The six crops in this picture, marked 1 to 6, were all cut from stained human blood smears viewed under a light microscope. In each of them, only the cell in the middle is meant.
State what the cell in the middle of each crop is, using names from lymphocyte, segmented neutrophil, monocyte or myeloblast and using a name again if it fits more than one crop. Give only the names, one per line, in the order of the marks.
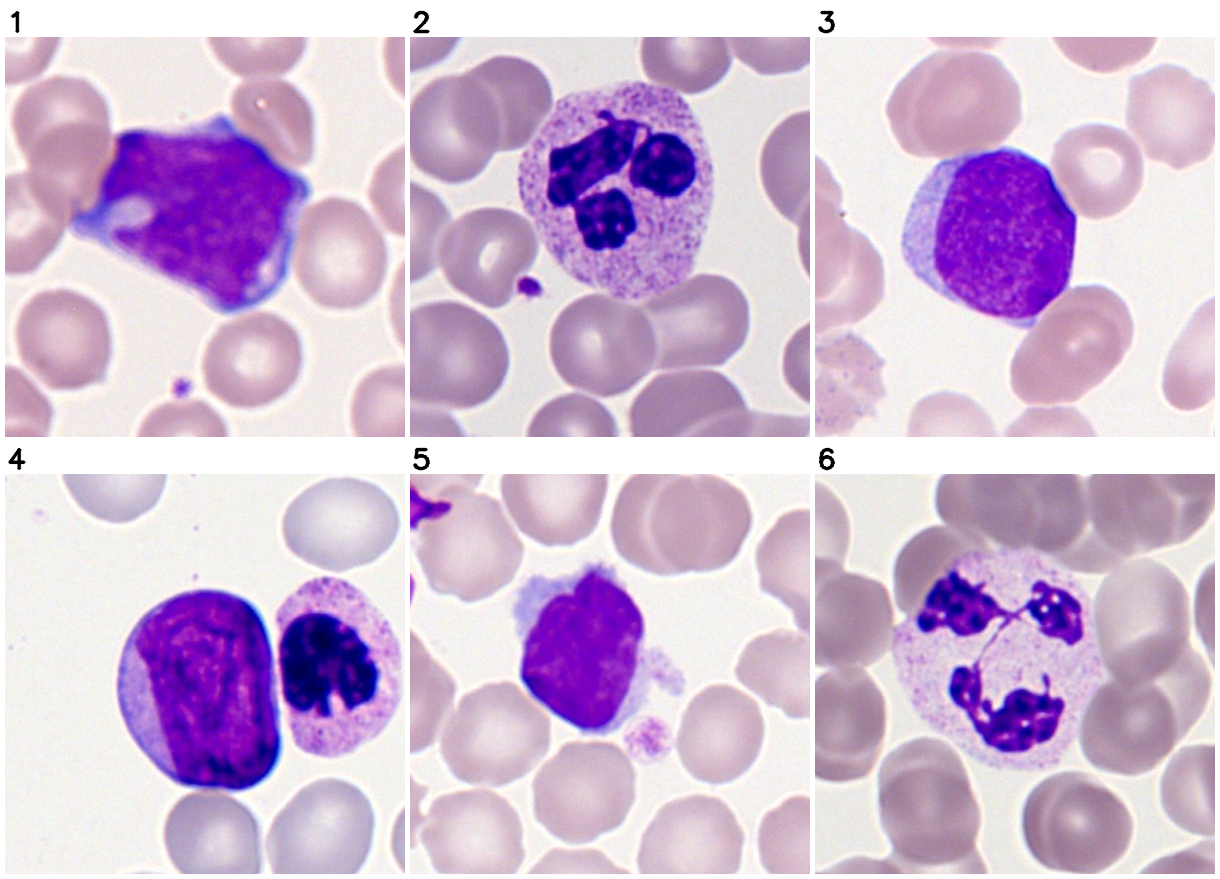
myeloblast
segmented neutrophil
myeloblast
myeloblast
lymphocyte
segmented neutrophil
